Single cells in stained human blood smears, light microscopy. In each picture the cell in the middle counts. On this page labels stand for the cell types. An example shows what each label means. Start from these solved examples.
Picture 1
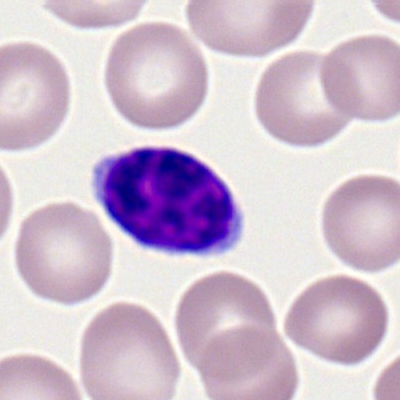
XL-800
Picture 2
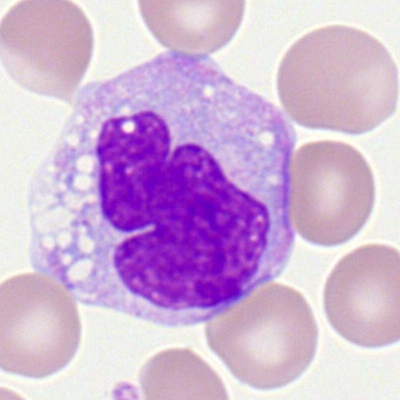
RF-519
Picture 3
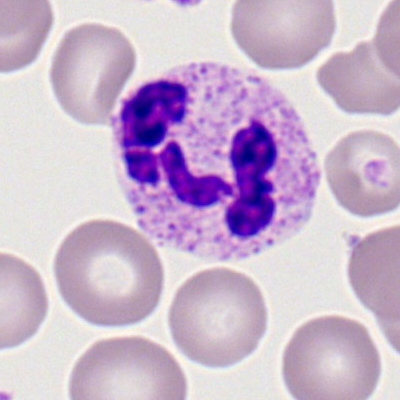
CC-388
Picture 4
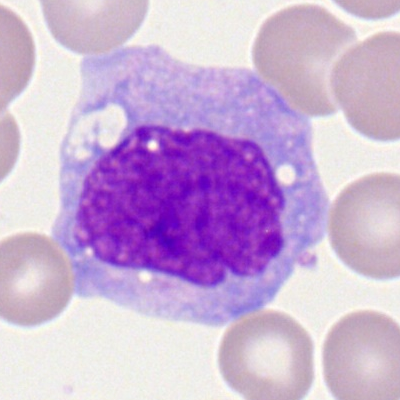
RF-519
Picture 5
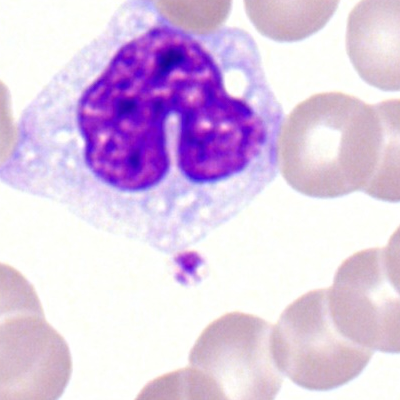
RF-519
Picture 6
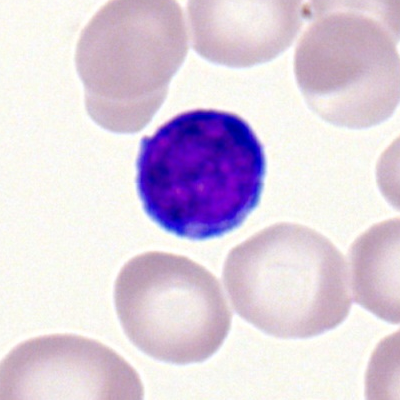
XL-800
